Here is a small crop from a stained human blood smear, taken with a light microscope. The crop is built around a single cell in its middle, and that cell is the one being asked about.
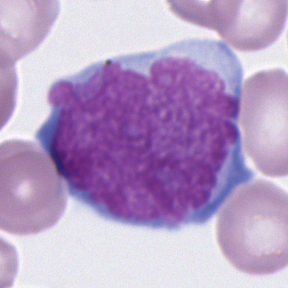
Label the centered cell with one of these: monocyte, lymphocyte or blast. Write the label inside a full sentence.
As for the central cell, it is a blast.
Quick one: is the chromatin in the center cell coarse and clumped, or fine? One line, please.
The nuclear chromatin is fine, showing no coarse aggregates.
